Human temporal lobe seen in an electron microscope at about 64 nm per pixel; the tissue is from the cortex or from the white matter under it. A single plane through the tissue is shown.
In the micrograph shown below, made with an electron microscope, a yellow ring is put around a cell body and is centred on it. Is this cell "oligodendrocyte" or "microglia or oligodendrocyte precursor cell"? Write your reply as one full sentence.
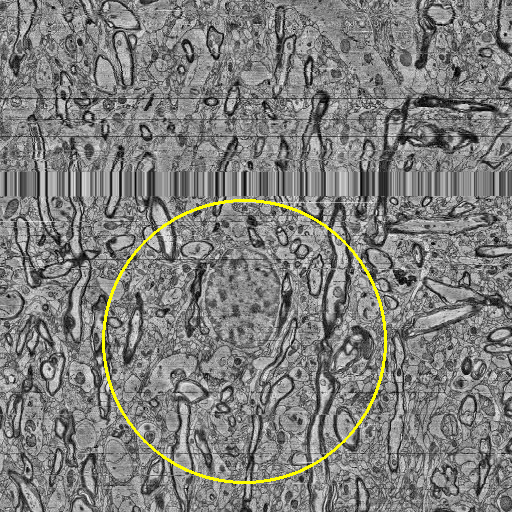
In the micrograph, an oligodendrocyte is the cell at the centre of the yellow ring.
